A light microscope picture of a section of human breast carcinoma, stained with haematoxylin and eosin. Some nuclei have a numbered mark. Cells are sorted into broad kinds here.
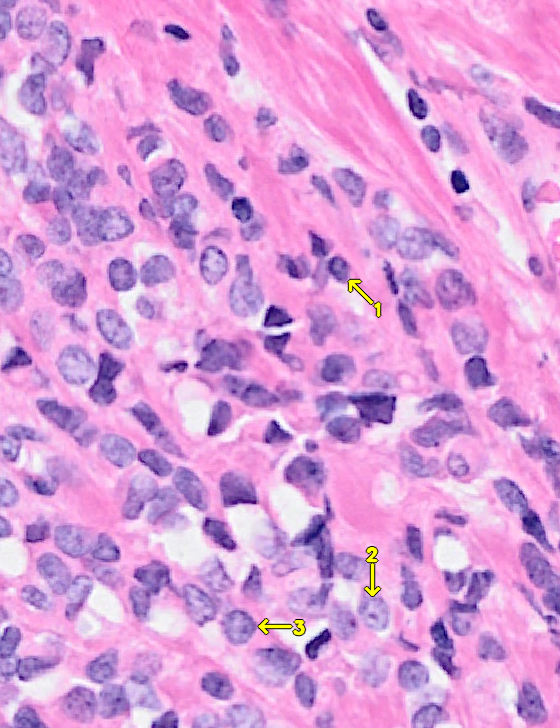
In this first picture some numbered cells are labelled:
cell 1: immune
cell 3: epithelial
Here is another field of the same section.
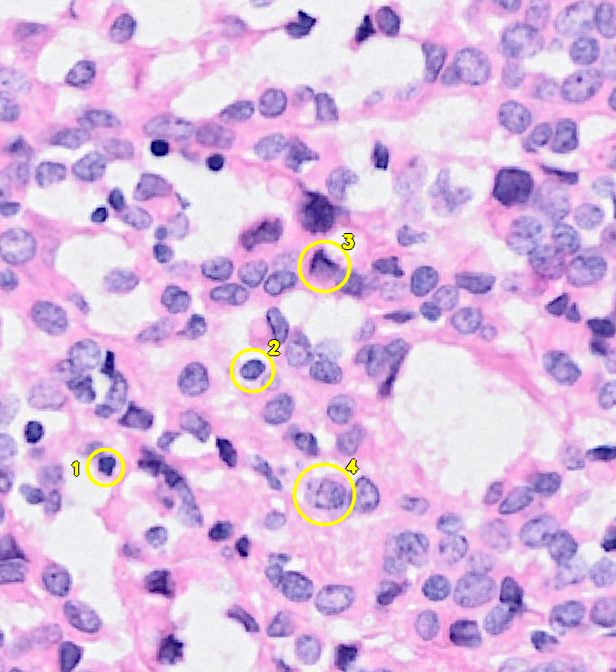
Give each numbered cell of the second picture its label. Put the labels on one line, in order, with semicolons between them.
immune; immune; epithelial; epithelial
